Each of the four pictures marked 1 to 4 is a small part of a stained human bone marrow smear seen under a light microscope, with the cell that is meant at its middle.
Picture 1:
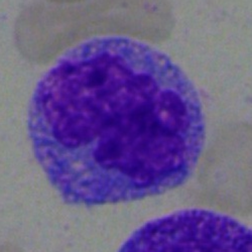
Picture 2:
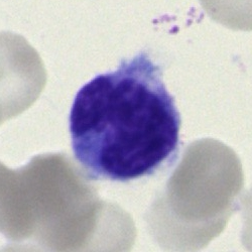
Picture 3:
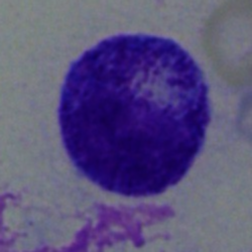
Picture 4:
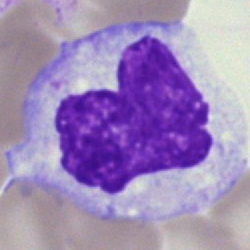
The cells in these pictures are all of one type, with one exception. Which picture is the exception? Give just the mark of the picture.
3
